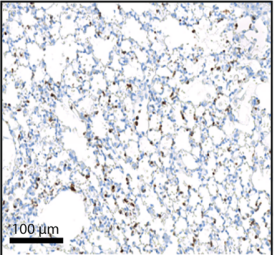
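The thin septa form a lace-like network around many small empty airspaces, with a larger round empty space at the lower left. Most nuclei of the septal cells are stained pale blue, while the brown cells are small and lie singly or in small clusters along the septa. The brown cells are spread across the whole field rather than gathered in one place.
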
